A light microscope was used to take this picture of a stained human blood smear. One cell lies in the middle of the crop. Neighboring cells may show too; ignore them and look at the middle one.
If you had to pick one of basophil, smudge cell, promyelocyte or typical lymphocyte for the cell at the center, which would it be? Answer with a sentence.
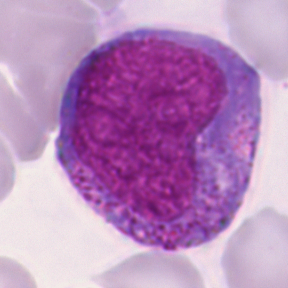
The cell at the middle of the frame should be recorded as a promyelocyte.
